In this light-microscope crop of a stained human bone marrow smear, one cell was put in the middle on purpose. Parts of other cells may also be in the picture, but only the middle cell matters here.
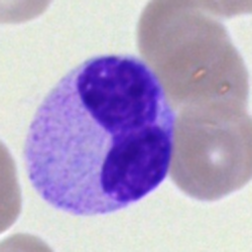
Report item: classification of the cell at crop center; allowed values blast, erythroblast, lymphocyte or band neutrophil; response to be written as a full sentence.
Here the cell in the middle is a band neutrophil.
